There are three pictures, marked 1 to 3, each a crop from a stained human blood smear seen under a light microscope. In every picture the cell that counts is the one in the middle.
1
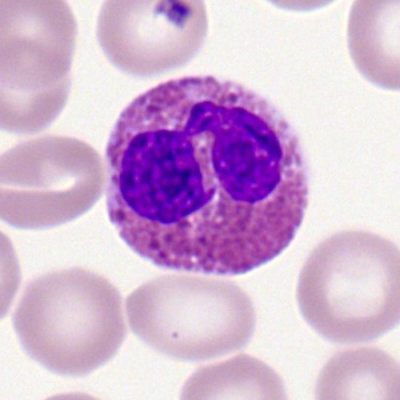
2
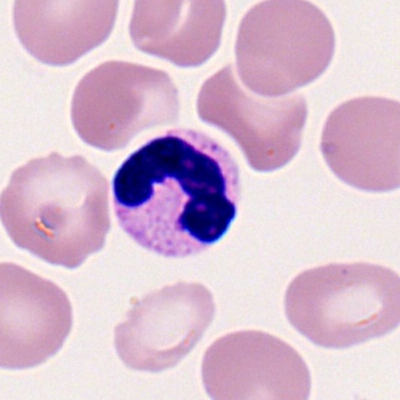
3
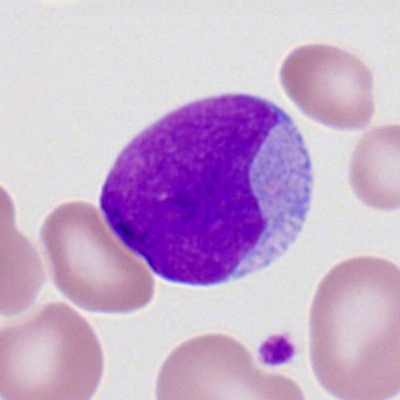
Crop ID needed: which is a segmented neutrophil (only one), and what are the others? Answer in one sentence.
On inspection, crop 2 shows a segmented neutrophil, while crop 1 is an eosinophil and crop 3 is a myeloblast.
